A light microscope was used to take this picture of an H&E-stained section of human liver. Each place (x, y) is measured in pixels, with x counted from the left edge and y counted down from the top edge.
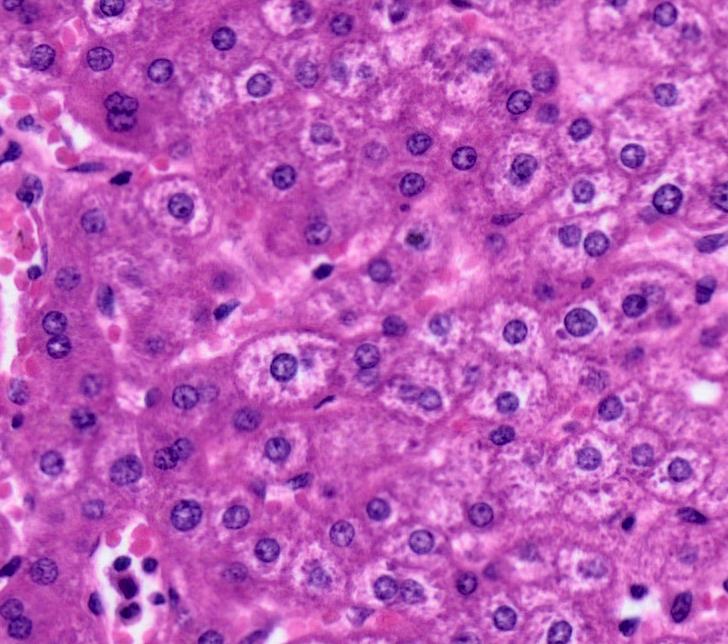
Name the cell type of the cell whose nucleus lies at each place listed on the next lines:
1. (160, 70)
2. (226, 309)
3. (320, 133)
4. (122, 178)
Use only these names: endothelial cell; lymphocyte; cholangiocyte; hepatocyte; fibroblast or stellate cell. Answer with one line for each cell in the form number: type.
1: hepatocyte
2: fibroblast or stellate cell
3: hepatocyte
4: fibroblast or stellate cell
